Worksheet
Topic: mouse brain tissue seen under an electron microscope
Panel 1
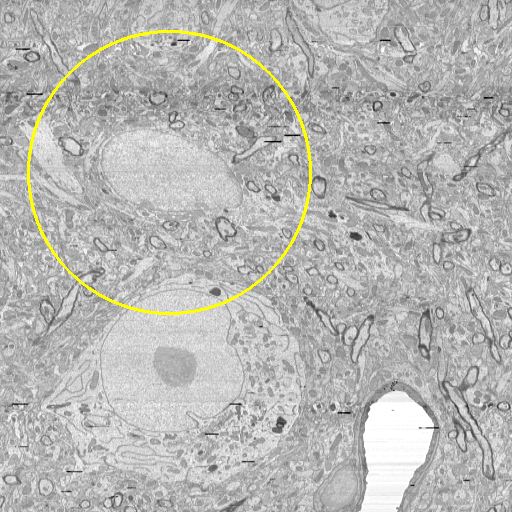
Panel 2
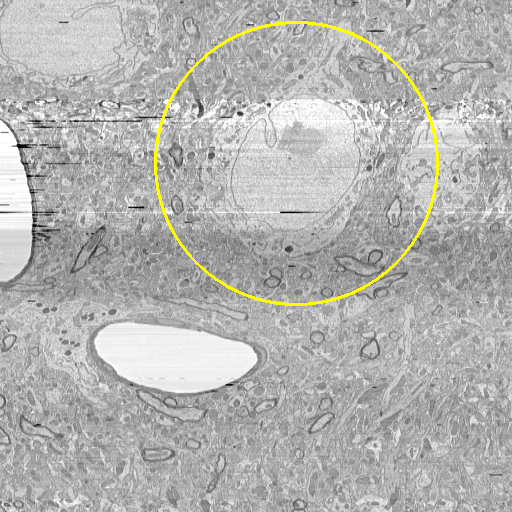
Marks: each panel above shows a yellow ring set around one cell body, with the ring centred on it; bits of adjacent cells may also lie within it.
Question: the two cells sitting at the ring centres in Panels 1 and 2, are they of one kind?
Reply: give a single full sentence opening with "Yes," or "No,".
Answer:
No, the two ring-centre cells in Panel 1 and Panel 2 are of two kinds.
